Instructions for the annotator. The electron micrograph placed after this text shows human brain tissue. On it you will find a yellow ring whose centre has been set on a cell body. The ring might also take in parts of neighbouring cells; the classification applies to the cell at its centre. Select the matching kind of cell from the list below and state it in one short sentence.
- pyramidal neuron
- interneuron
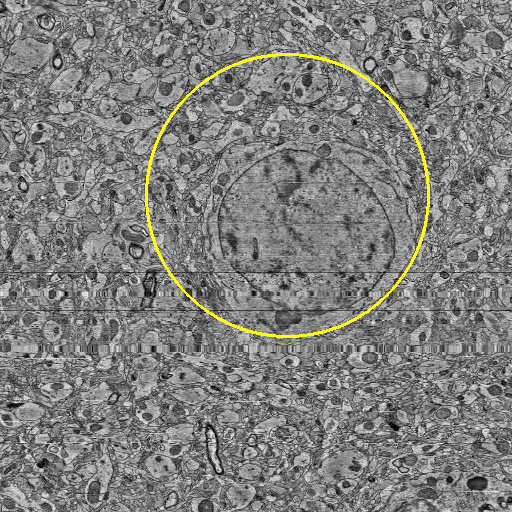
The ring is drawn on the cell body of a pyramidal neuron.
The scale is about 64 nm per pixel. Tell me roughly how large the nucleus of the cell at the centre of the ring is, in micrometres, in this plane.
Roughly 11 micrometres across for the nucleus, in this plane.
